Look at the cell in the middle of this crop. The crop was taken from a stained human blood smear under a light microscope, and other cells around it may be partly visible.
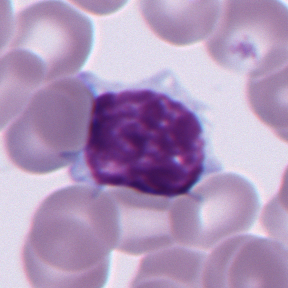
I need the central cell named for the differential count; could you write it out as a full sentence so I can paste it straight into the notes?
The identification for the central cell is a lymphocyte.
